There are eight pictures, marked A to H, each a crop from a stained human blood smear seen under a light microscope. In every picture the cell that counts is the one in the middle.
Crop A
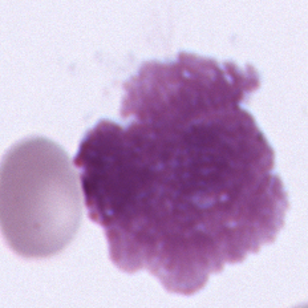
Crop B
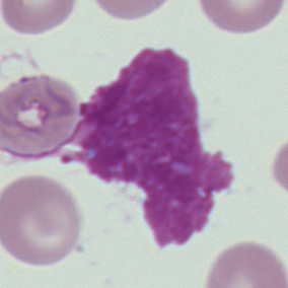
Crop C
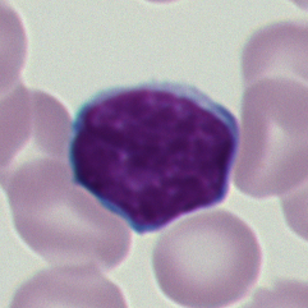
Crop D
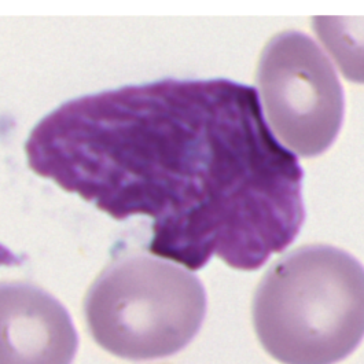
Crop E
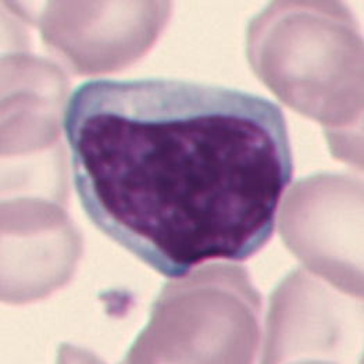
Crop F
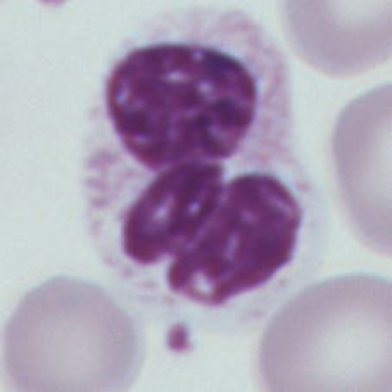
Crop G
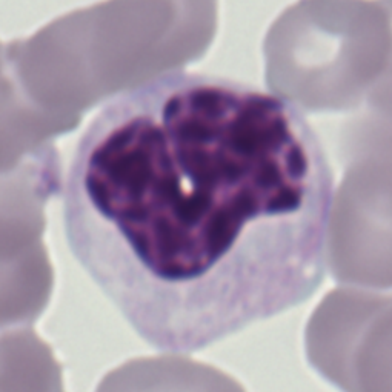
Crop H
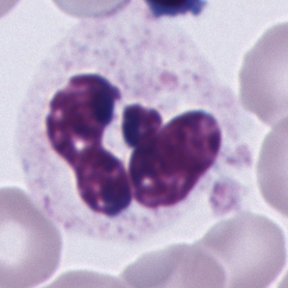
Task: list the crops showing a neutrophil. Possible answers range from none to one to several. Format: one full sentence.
In this series, neutrophils are shown by crops F, G and H.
